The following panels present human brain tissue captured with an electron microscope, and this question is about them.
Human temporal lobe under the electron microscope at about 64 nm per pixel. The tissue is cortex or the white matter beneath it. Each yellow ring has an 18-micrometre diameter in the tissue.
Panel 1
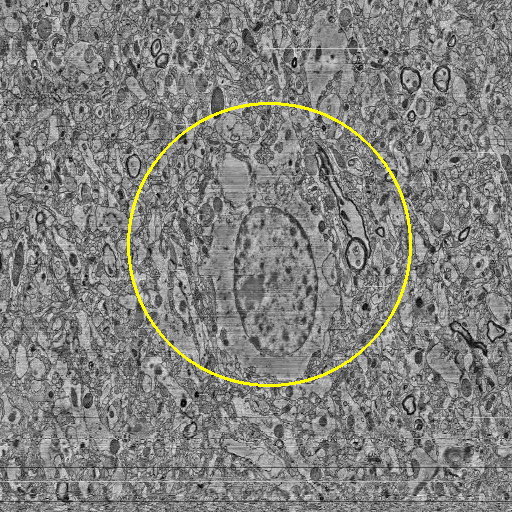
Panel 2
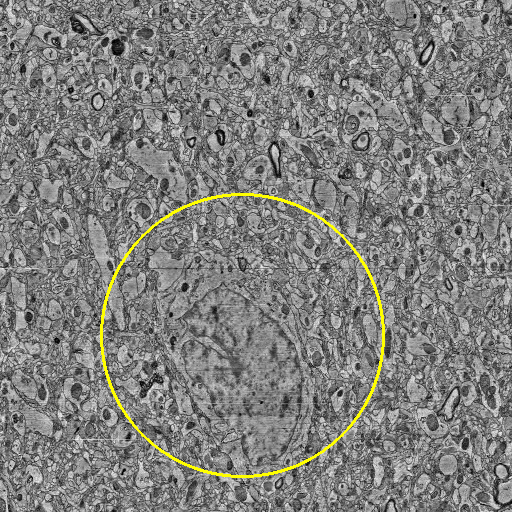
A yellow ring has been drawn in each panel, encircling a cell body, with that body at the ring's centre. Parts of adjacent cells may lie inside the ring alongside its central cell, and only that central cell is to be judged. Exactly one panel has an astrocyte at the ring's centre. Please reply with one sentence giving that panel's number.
The ring whose central cell fits the description is the one in panel 1.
